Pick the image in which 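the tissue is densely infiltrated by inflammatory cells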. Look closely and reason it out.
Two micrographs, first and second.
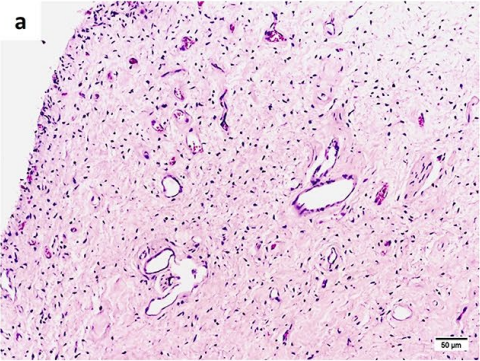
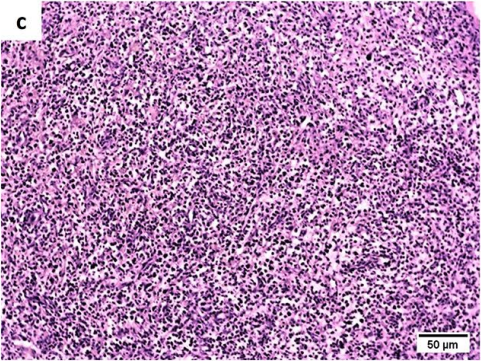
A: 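Second image: the whole field is crowded with small dark round nuclei. First image: pale loose tissue with only sparse scattered spindle nuclei.
Conclusion: the second image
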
